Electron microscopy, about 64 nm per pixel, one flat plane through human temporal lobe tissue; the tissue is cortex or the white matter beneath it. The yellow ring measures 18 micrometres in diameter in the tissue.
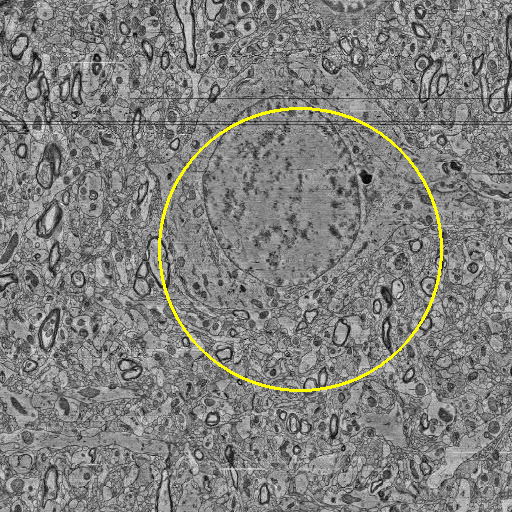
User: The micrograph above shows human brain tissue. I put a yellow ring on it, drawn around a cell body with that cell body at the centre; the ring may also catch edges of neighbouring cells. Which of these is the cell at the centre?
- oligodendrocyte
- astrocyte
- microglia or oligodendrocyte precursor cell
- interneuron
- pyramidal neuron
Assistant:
pyramidal neuron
